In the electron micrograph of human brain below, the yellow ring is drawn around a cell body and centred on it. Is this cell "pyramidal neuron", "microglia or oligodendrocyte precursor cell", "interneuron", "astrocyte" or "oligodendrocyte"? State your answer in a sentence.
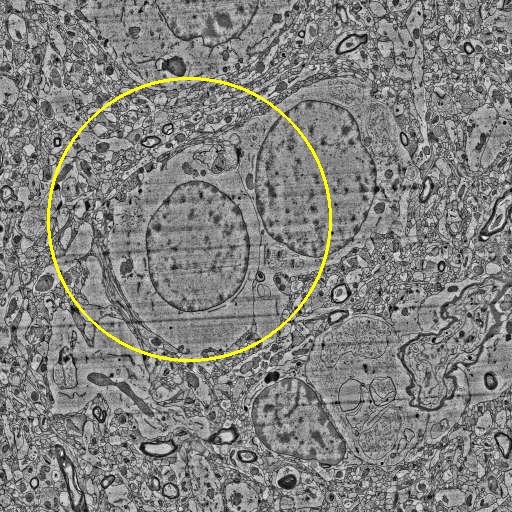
The cell in the middle of the ring is an astrocyte.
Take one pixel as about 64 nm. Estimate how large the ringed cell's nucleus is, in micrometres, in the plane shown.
About 8 micrometres by about 7 micrometres in this plane.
